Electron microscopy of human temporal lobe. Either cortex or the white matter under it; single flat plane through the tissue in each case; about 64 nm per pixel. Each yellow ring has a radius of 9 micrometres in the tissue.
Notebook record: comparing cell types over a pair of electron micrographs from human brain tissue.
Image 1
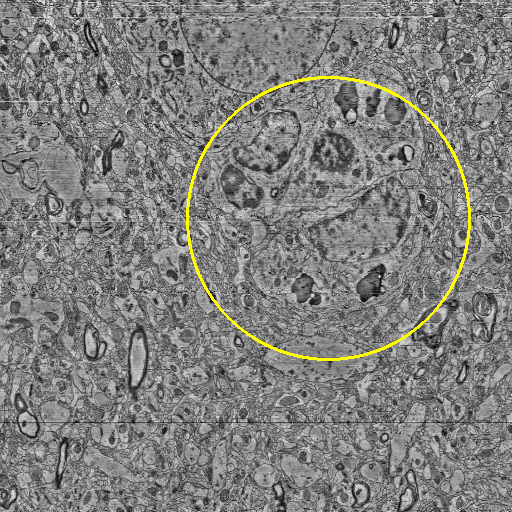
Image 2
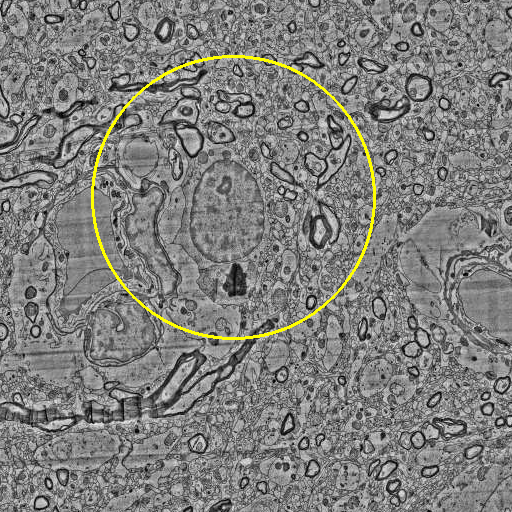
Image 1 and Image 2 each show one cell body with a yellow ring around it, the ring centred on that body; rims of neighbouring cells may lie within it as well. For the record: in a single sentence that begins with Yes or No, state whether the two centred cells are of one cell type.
No, two cell types are found among the centred cells of Image 1 and Image 2.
